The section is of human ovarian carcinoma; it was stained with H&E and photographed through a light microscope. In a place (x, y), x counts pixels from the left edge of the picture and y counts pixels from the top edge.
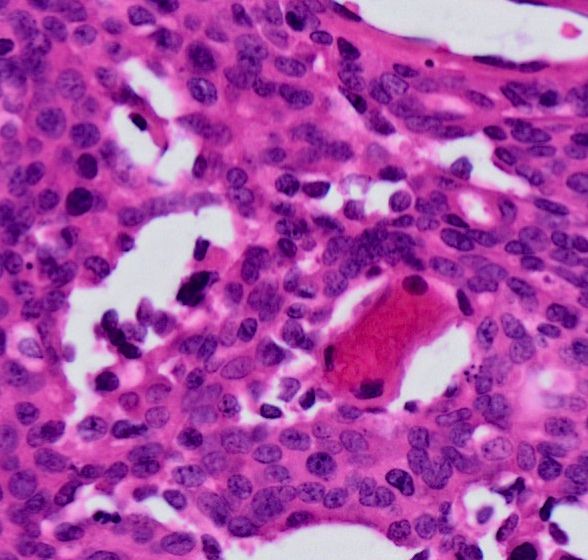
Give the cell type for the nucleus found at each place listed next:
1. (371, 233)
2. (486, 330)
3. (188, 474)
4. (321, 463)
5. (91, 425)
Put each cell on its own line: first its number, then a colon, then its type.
1: carcinoma cell
2: macrophage or monocyte
3: macrophage or monocyte
4: carcinoma cell
5: macrophage or monocyte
